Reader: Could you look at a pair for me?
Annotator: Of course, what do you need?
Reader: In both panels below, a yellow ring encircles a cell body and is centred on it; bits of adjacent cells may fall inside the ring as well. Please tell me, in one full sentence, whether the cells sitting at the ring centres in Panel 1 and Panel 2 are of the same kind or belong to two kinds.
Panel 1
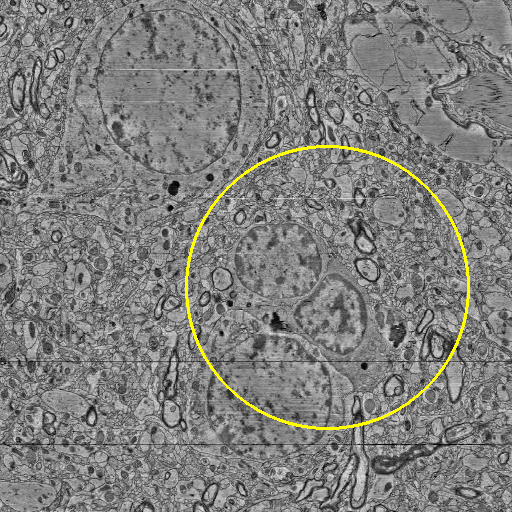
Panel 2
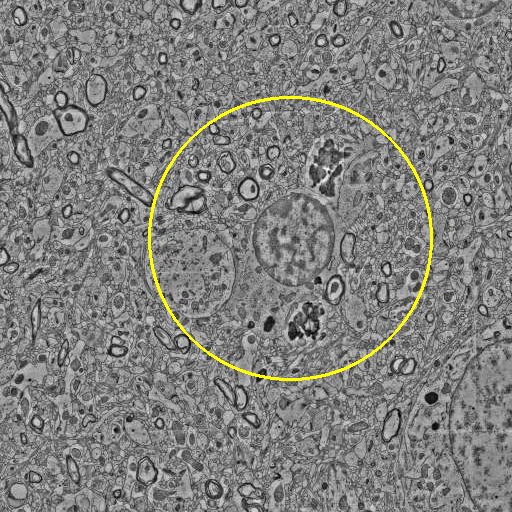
The cell at the ring's centre in Panel 1 and the one in Panel 2 are of the same kind.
